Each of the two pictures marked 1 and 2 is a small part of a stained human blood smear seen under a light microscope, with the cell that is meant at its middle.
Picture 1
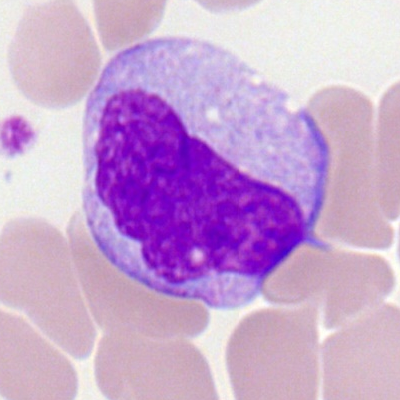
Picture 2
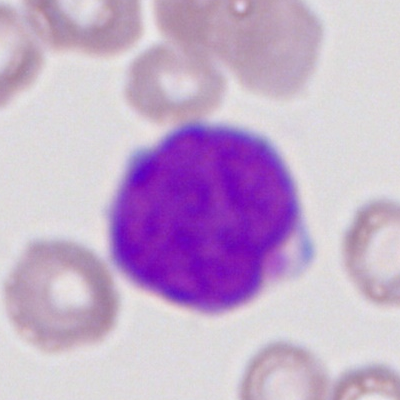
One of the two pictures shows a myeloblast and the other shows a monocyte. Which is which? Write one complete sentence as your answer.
The cell in picture 1 is a monocyte, and the one in picture 2 is a myeloblast.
